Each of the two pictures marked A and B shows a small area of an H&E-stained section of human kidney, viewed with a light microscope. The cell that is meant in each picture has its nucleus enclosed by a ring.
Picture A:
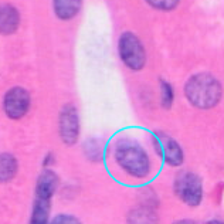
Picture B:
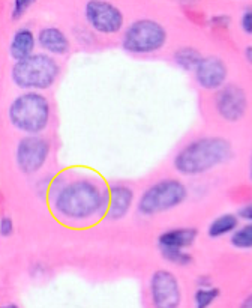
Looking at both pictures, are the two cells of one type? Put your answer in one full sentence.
Yes, both cells are collecting duct cells.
